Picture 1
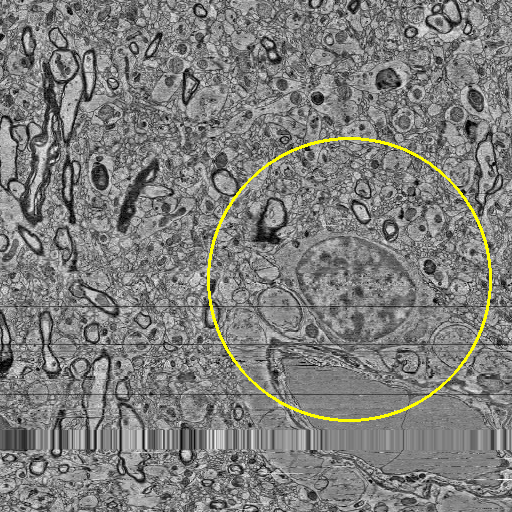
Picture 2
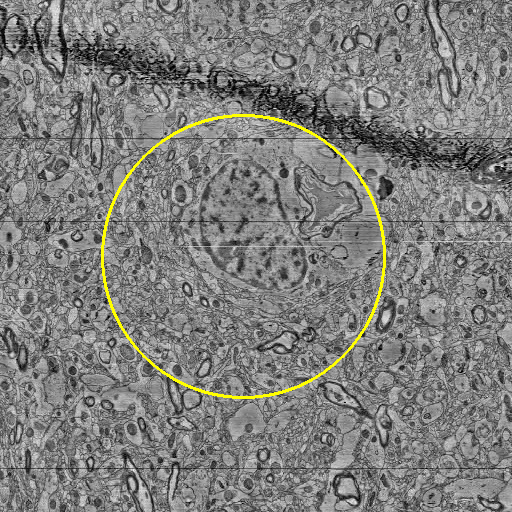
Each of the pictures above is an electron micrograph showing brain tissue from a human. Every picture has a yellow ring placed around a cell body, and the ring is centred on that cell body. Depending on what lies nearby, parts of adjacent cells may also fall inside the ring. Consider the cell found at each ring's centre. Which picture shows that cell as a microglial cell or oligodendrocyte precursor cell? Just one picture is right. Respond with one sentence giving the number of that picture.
The picture showing the wanted cell at the ring's centre is number 2.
